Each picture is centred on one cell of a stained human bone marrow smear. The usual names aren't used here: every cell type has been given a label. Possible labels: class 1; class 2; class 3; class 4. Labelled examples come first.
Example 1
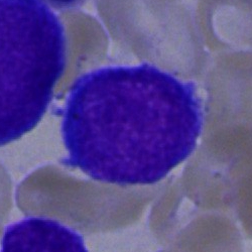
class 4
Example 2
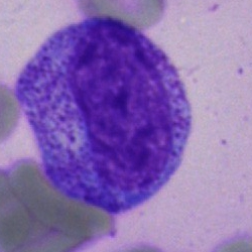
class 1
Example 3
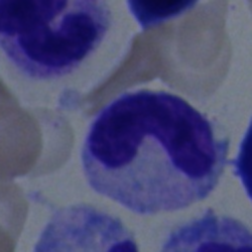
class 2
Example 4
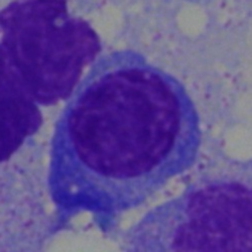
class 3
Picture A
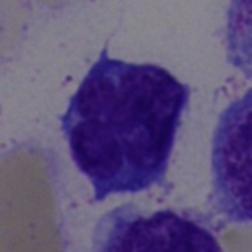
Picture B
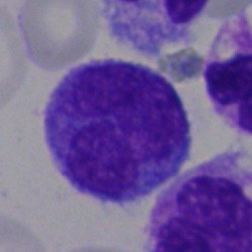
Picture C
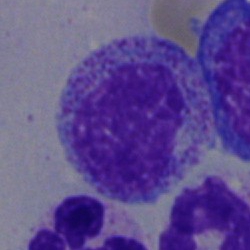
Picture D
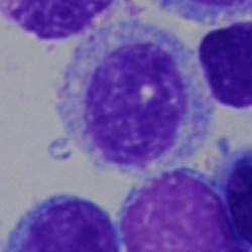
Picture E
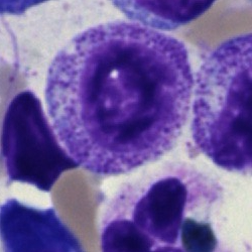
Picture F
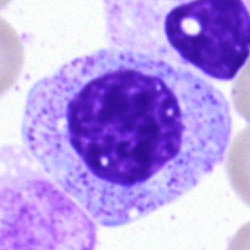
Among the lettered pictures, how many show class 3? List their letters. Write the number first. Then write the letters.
0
